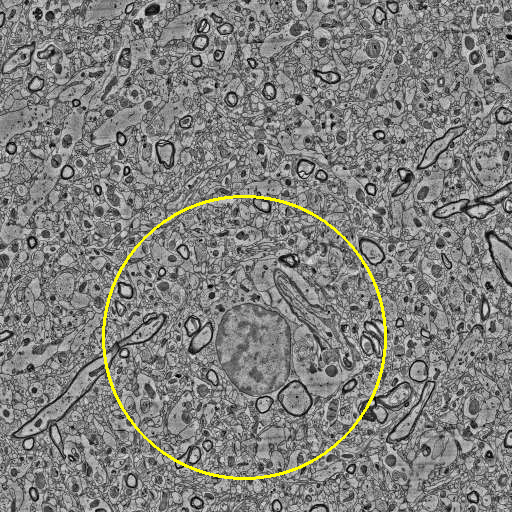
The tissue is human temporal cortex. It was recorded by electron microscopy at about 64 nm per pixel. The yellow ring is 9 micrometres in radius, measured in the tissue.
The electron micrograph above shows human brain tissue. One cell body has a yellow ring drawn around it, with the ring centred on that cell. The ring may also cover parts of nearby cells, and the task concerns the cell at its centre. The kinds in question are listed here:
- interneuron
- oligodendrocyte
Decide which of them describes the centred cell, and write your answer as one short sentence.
The centred cell is an oligodendrocyte.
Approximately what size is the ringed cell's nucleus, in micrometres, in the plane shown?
About 6 by 5 micrometres in this plane.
